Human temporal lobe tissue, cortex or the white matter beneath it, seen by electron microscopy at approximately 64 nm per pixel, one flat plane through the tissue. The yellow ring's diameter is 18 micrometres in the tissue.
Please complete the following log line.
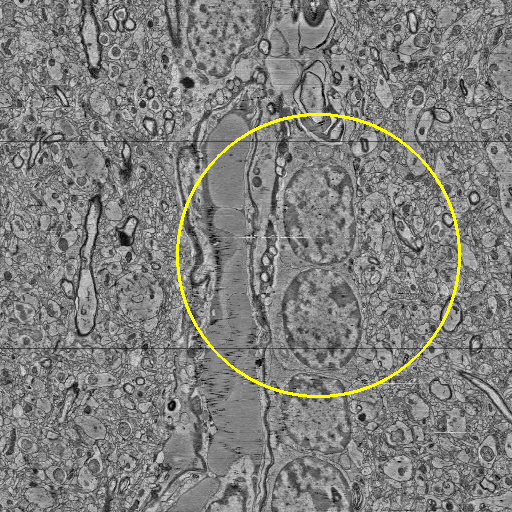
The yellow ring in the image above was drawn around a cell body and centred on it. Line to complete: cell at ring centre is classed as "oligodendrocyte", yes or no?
yes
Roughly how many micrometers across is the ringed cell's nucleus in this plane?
The ringed cell's nucleus is about 7 micrometres long and 5 micrometres wide in this plane.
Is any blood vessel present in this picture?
Yes, one appears.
